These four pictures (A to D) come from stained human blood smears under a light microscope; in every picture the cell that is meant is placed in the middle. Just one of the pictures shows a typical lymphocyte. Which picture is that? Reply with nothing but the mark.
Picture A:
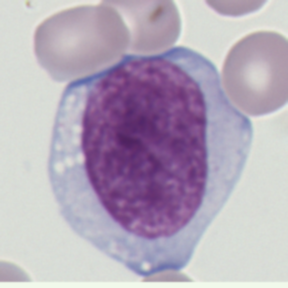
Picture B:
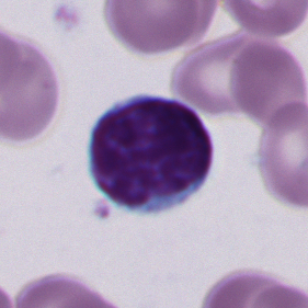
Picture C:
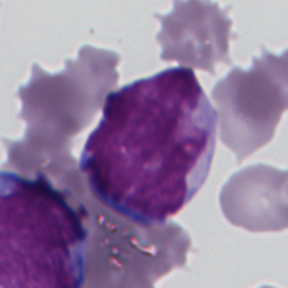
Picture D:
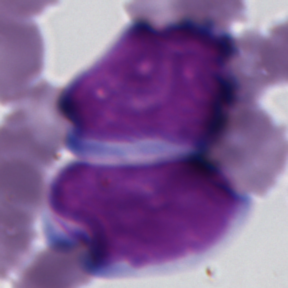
B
